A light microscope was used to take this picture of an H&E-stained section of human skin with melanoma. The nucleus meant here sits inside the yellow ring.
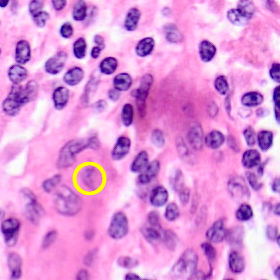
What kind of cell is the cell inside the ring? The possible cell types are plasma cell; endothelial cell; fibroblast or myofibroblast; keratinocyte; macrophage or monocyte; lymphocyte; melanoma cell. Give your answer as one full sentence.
Speaking plainly, the cell inside the ring is nothing other than an endothelial cell.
